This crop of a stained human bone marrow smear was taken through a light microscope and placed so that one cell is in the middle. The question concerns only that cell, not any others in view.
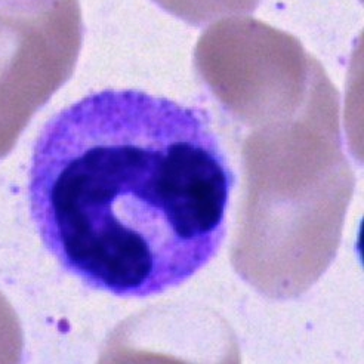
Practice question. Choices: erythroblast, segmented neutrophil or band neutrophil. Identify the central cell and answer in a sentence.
Within this crop, a band neutrophil occupies the central position.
